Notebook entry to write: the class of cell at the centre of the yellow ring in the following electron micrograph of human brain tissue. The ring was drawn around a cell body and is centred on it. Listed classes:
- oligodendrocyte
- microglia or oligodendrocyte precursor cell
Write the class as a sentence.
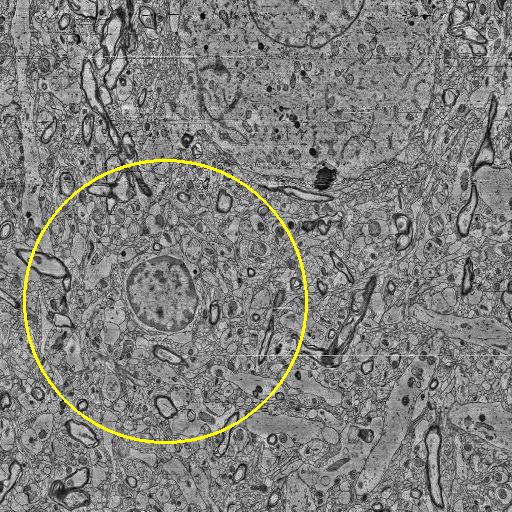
The yellow ring sits on a microglial cell or oligodendrocyte precursor cell.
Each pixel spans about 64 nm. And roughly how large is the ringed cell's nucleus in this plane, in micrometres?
In this plane the nucleus measures roughly 5 by 4 micrometers.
